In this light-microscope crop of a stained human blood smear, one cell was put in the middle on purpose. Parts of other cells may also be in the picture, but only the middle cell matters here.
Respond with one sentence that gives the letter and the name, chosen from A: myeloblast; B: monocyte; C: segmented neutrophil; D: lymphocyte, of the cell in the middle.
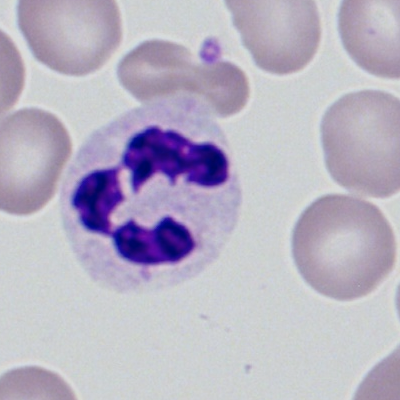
Seen at the centre of the crop is a segmented neutrophil, so option C is correct.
